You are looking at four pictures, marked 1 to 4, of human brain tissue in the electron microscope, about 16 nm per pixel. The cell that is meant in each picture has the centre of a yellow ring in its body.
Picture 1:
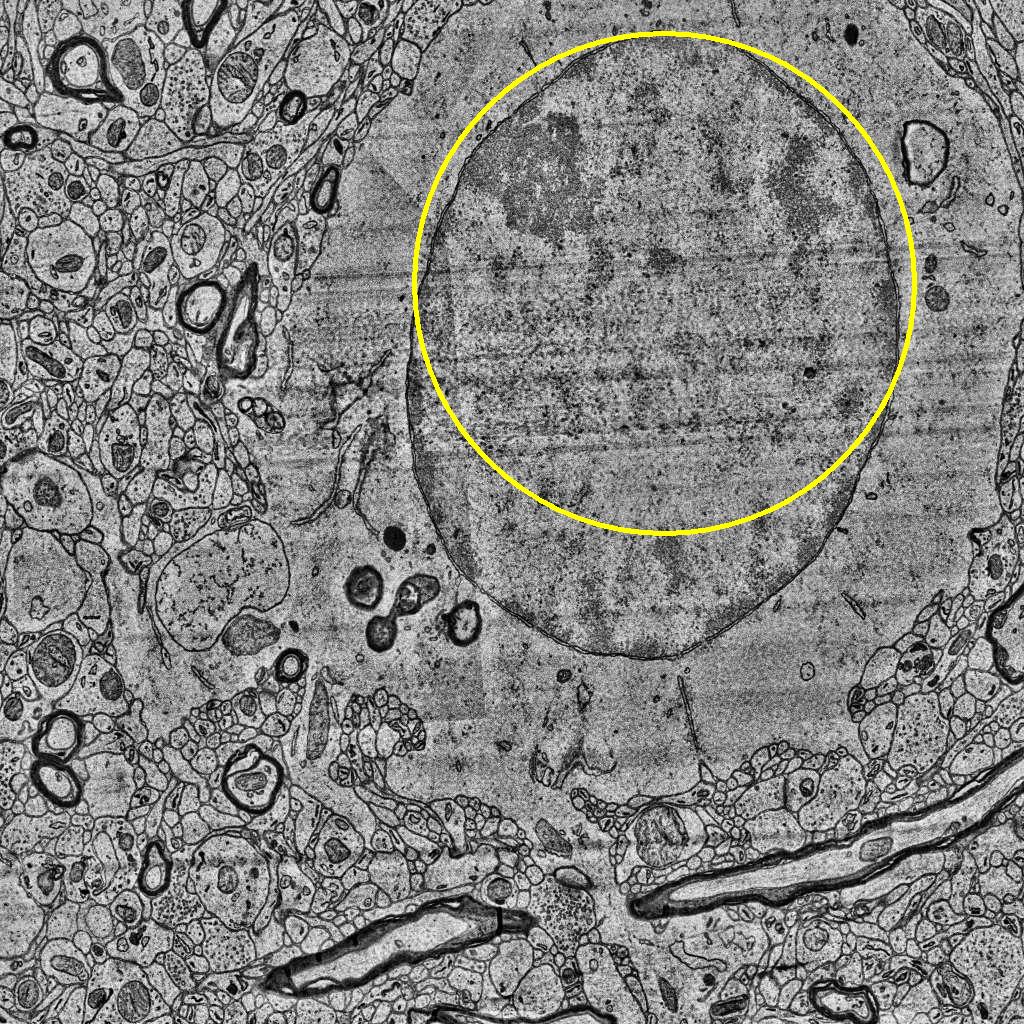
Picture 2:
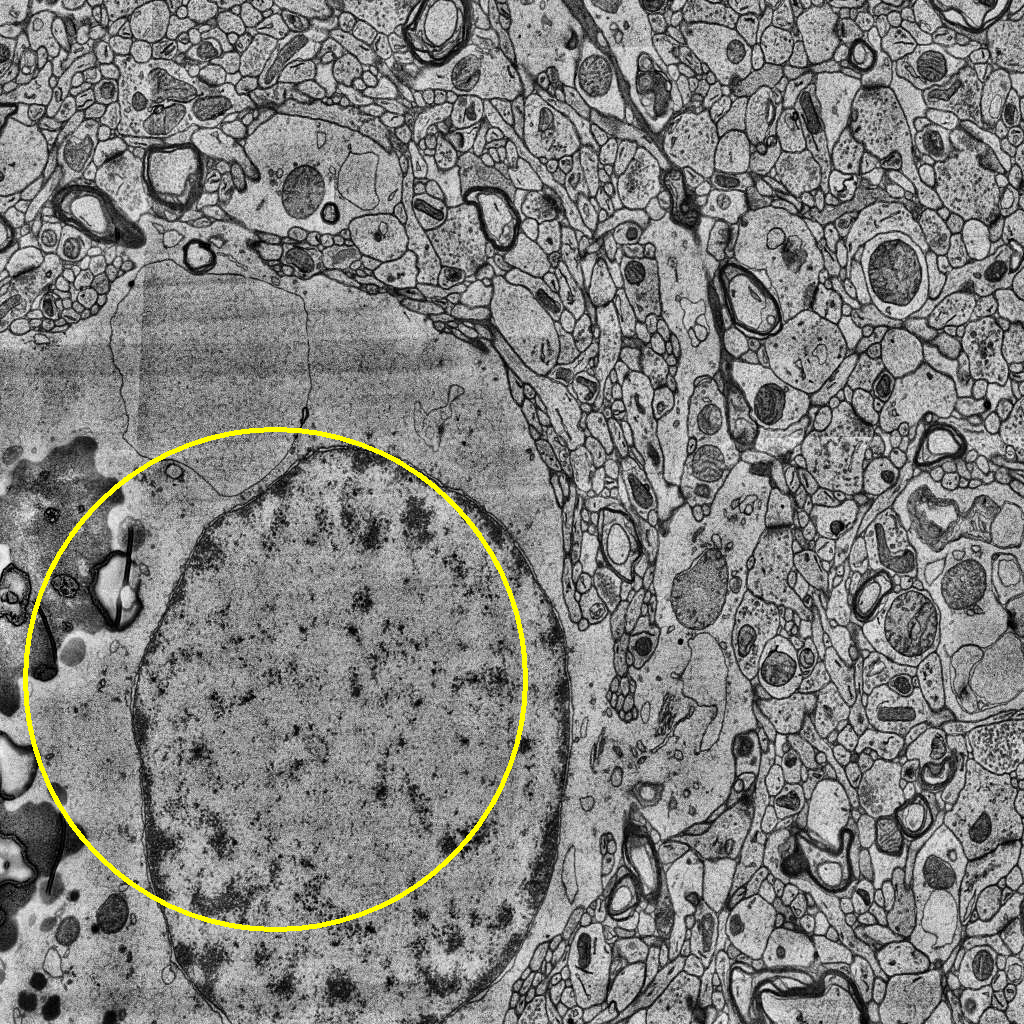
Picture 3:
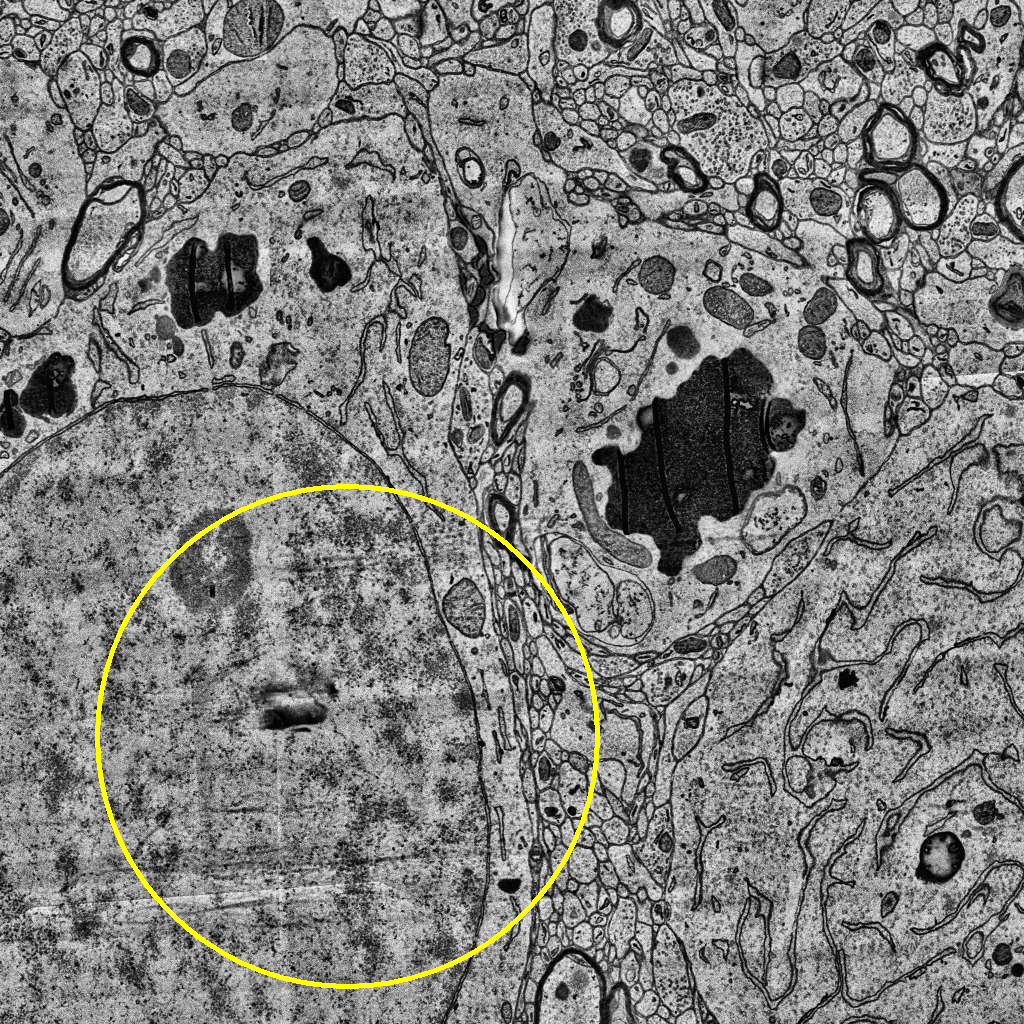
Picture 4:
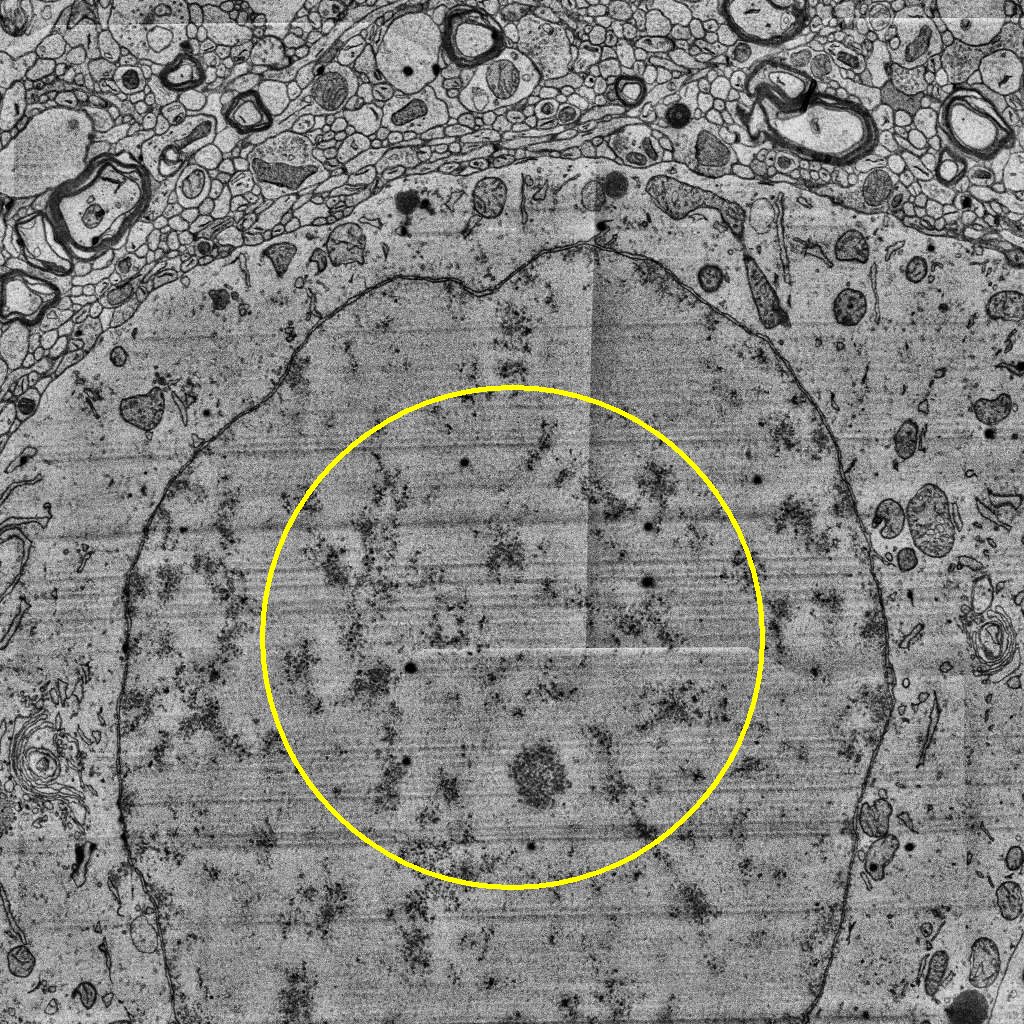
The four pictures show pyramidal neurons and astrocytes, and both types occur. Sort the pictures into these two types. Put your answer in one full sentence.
Pictures 3 and 4 show pyramidal neurons; pictures 1 and 2 show astrocytes.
